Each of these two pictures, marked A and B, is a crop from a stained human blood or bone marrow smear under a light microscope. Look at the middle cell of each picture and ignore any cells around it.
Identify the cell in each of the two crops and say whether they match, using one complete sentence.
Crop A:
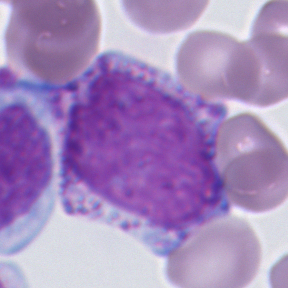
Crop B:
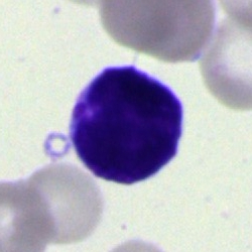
No, crop A features a promyelocyte, and crop B features a blast.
